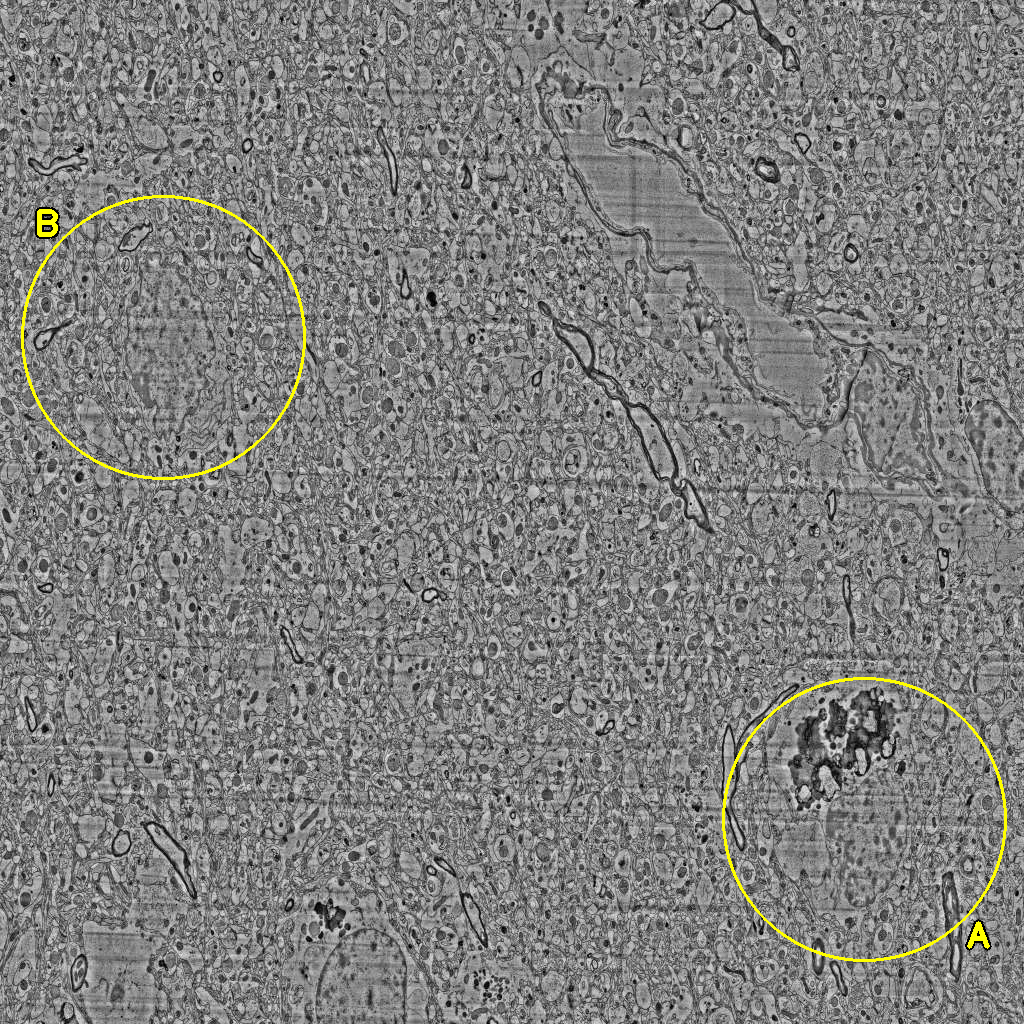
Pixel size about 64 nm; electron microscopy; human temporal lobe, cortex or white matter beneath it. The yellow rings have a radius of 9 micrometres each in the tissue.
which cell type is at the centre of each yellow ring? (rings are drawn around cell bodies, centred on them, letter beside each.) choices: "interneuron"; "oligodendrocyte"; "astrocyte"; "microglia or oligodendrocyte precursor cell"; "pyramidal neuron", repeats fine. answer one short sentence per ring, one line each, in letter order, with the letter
Ring A is an astrocyte.
Ring B is an interneuron.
